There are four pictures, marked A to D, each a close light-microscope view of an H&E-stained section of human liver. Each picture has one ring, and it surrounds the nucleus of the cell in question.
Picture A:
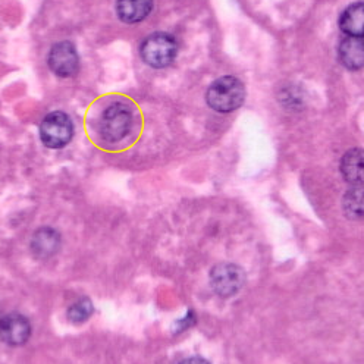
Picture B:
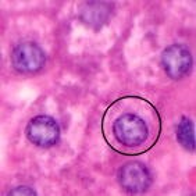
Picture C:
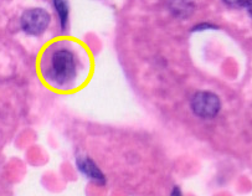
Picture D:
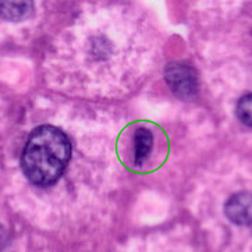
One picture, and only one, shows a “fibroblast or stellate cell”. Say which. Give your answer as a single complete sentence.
It is picture D that shows the “fibroblast or stellate cell”.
